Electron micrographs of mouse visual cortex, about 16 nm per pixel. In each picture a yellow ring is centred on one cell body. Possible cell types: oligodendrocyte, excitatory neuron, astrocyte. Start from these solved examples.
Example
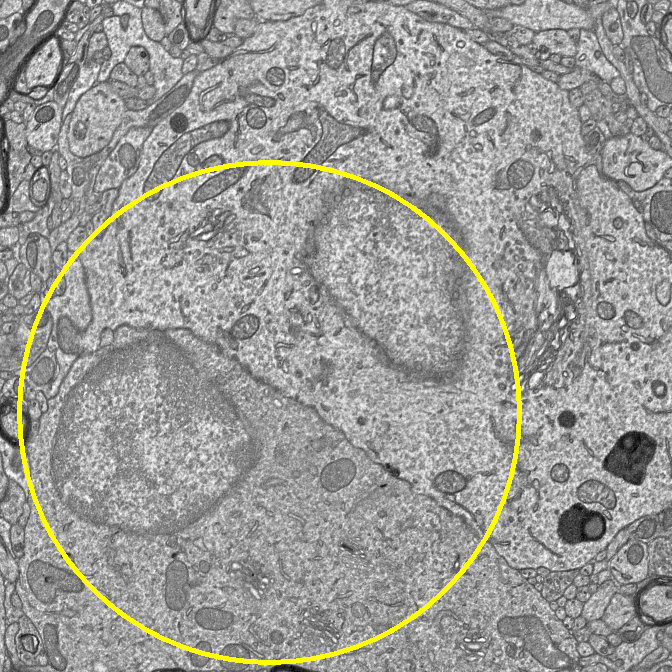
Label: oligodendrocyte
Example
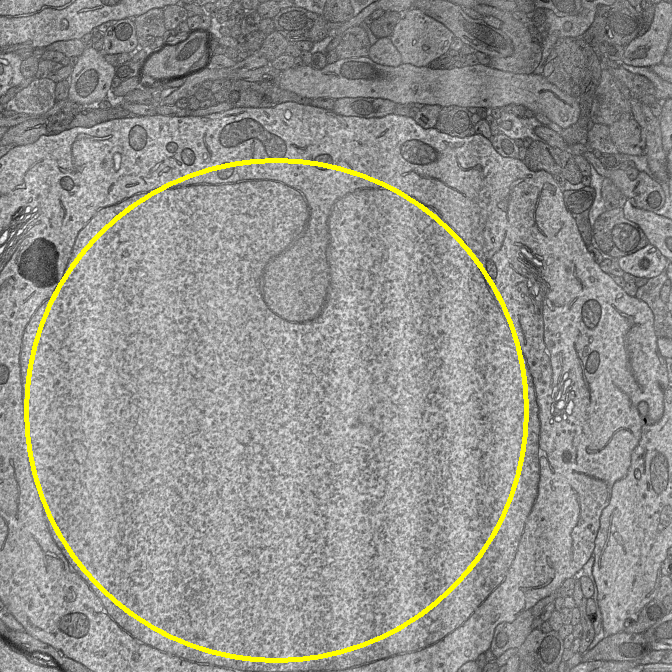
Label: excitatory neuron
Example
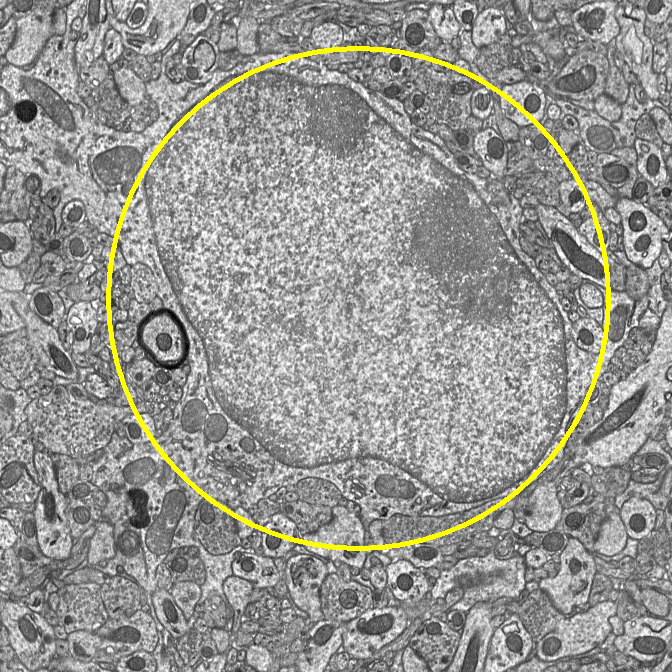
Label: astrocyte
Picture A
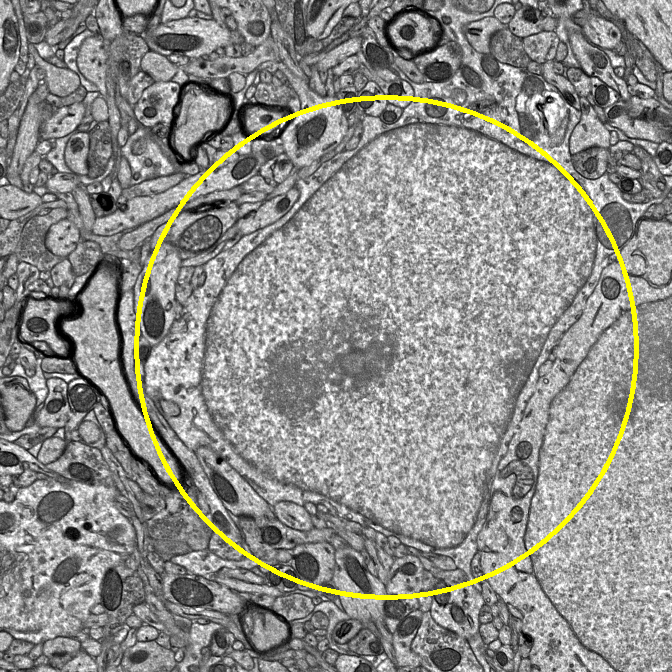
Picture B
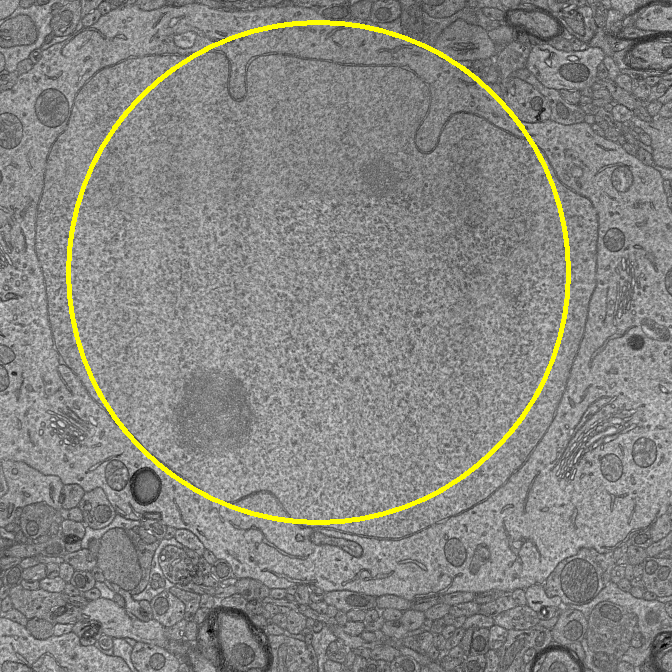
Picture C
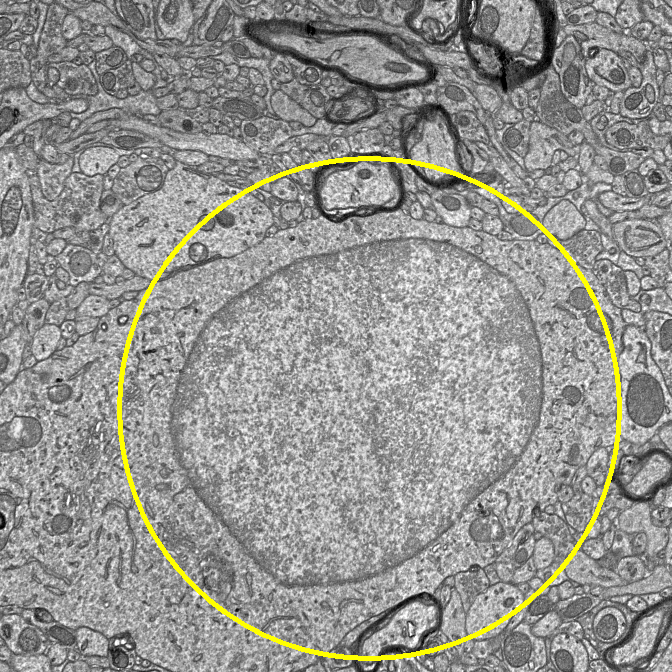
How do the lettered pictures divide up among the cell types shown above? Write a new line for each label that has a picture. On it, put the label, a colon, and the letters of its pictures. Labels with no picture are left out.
oligodendrocyte: C
excitatory neuron: B
astrocyte: A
